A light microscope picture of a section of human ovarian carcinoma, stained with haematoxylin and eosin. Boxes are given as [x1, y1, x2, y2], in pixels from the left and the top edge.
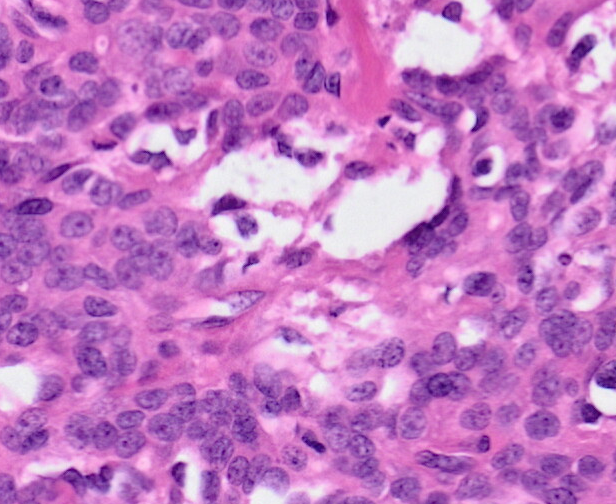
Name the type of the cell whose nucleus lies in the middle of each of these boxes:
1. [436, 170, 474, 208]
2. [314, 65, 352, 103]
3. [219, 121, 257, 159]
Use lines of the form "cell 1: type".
cell 1: carcinoma cell
cell 2: macrophage or monocyte
cell 3: carcinoma cell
